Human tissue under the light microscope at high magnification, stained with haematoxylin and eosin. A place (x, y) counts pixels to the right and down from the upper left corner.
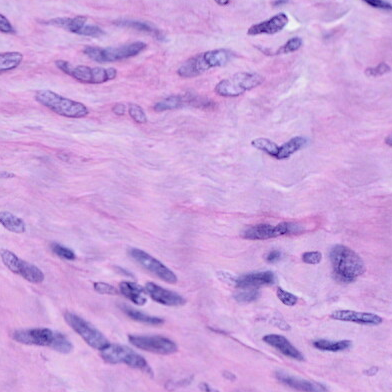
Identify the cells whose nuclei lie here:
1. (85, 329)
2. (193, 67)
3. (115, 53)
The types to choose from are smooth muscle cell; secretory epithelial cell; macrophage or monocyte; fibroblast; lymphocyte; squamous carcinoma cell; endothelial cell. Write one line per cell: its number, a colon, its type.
1: fibroblast
2: smooth muscle cell
3: smooth muscle cell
